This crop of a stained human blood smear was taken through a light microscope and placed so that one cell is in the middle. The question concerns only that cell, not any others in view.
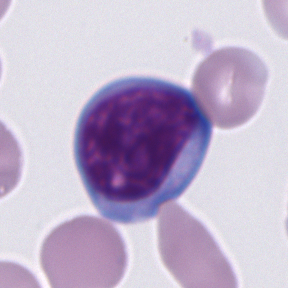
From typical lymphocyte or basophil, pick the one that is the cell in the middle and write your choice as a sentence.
In the central position of this crop, the cell is a typical lymphocyte.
